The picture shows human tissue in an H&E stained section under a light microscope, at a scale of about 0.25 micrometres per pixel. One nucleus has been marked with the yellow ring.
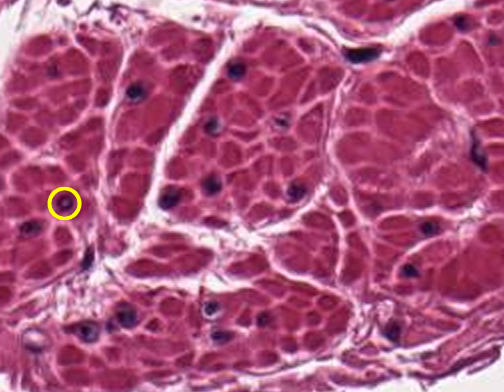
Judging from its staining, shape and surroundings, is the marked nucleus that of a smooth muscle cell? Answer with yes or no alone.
yes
